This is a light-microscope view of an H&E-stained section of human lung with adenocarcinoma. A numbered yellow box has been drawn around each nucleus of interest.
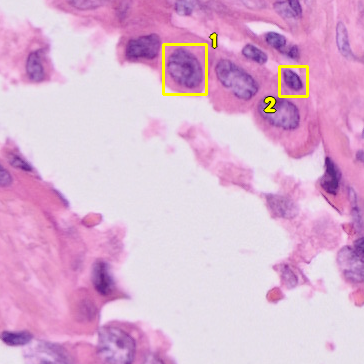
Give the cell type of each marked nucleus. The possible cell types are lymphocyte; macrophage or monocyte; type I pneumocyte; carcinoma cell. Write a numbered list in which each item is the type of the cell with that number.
1. carcinoma cell
2. lymphocyte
